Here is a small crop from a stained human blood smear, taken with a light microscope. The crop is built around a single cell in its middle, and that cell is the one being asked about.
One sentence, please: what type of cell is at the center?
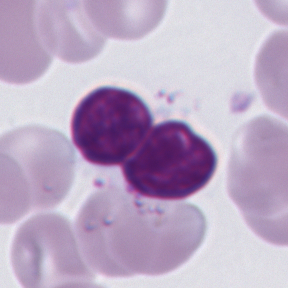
This particular crop is centered on a smudge cell.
